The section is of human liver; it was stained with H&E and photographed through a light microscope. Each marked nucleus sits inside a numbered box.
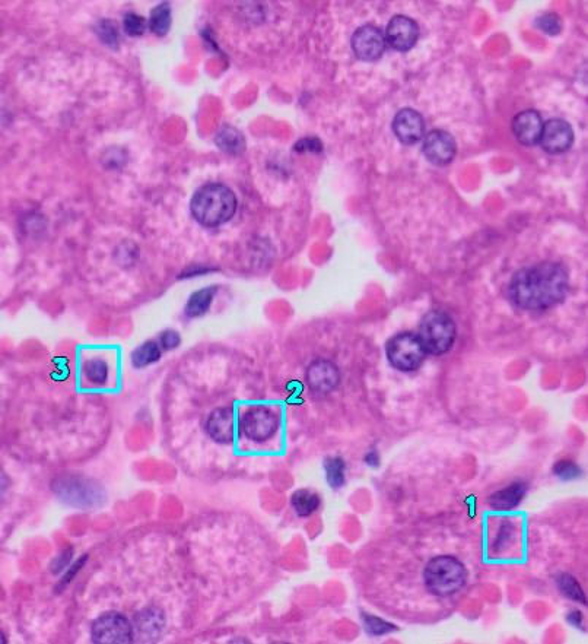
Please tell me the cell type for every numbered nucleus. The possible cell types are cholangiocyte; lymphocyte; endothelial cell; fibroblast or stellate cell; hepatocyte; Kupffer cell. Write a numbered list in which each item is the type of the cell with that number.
1. fibroblast or stellate cell
2. hepatocyte
3. lymphocyte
